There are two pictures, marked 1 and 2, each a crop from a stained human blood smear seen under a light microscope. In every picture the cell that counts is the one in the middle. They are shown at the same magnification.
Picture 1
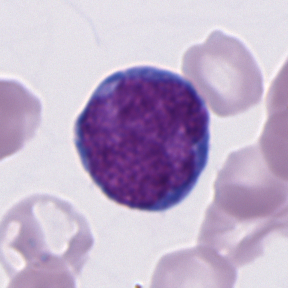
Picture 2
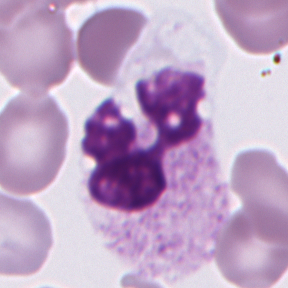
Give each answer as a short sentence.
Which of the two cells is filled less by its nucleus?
The nucleus fills less of the cell in picture 2 than in picture 1.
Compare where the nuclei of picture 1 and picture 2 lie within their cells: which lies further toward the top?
It is the nucleus in picture 2 that lies further toward the top of its cell.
